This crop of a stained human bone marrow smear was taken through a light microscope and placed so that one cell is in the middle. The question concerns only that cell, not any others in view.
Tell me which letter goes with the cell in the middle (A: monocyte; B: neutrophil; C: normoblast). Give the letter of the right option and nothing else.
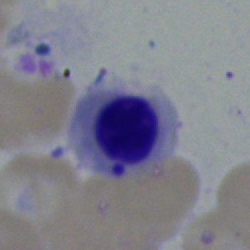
C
